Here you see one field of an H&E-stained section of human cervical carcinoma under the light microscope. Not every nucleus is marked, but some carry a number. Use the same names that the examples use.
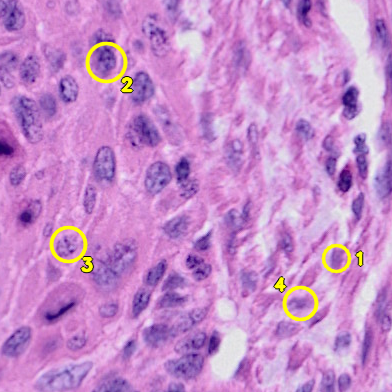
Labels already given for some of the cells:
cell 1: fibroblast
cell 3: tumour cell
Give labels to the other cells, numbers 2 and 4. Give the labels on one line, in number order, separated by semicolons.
tumour cell; fibroblast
